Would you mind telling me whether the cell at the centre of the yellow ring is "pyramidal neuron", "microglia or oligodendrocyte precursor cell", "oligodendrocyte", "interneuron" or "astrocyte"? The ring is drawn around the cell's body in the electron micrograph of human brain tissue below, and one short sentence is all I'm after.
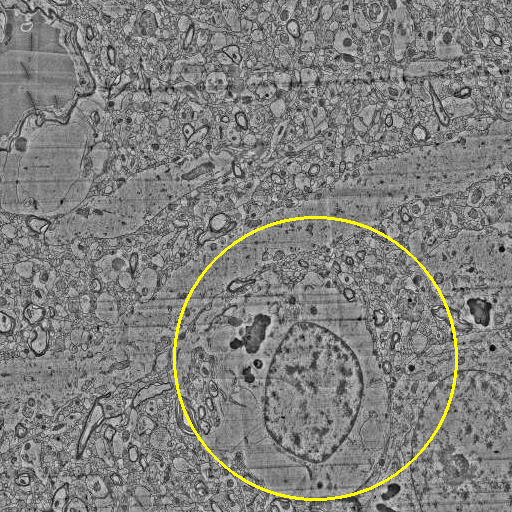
In the centre of the ring lies an astrocyte.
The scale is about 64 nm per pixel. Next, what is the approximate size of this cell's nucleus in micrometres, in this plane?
Approximately 9 micrometres long and 7 micrometres wide, in this plane.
